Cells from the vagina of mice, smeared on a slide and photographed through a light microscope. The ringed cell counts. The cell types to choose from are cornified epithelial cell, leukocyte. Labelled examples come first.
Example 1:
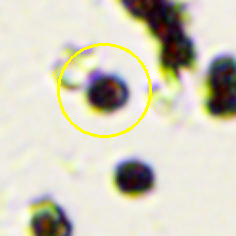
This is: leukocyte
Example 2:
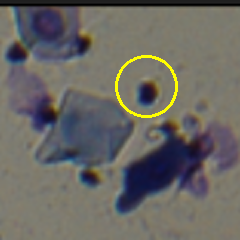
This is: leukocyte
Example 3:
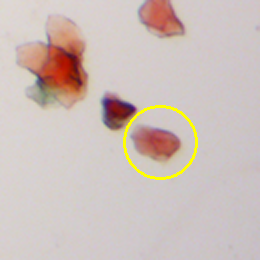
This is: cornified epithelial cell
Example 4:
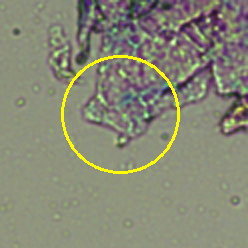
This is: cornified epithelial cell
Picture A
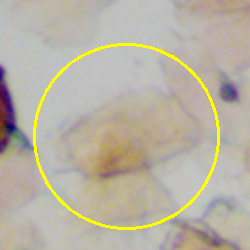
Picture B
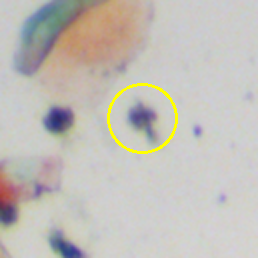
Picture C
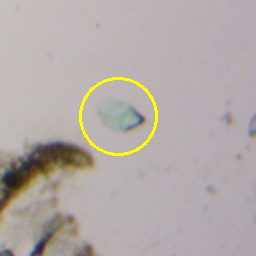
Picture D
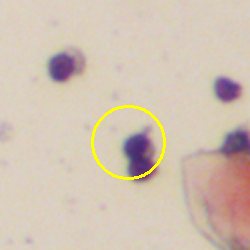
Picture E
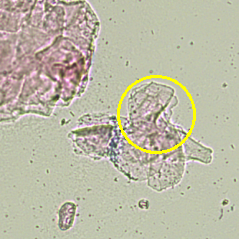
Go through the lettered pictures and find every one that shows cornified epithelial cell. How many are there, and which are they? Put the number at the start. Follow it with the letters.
3, namely A, C, E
